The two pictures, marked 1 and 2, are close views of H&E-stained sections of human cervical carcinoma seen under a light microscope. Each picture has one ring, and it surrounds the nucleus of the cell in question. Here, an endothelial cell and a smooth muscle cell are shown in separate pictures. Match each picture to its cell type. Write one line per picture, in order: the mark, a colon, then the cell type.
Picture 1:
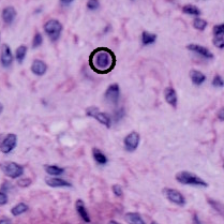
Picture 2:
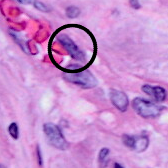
1: smooth muscle cell
2: endothelial cell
